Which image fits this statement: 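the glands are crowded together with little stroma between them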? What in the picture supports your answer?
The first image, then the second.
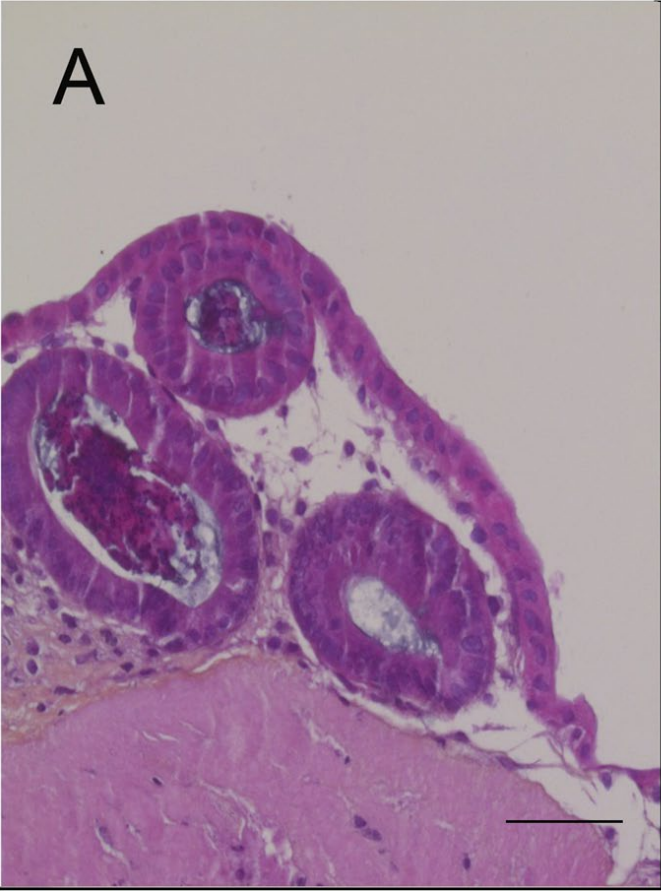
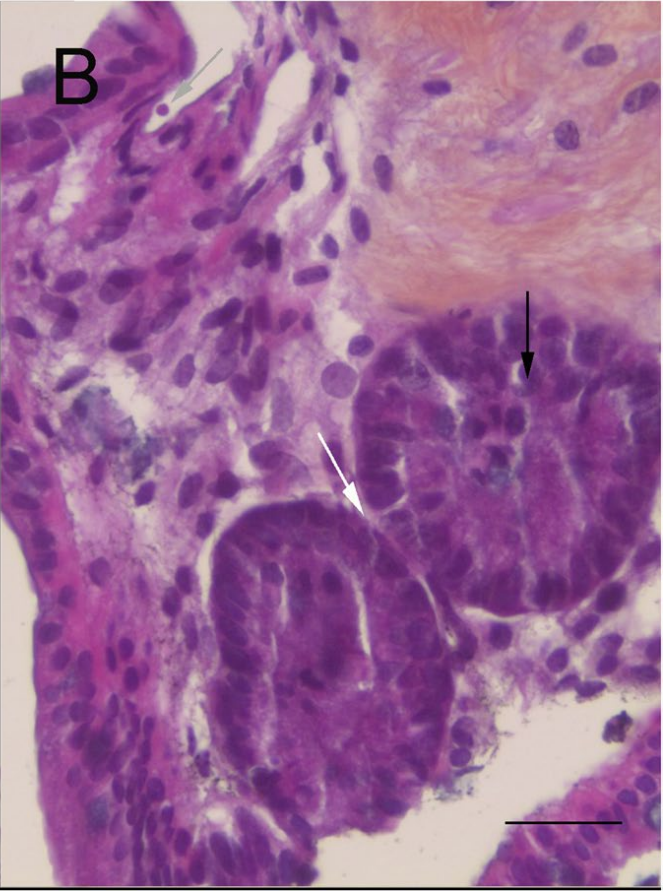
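The second image. Second image: two glands lie almost touching, separated by a narrow cleft. First image: rounded glands lie apart, separated by loose pale stroma.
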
